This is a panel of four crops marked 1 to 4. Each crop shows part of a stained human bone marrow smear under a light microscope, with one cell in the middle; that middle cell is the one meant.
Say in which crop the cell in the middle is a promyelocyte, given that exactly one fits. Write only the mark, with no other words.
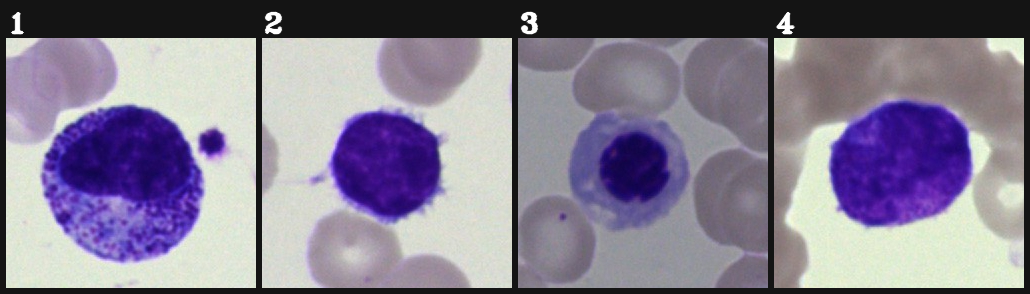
1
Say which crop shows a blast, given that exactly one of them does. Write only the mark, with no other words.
4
